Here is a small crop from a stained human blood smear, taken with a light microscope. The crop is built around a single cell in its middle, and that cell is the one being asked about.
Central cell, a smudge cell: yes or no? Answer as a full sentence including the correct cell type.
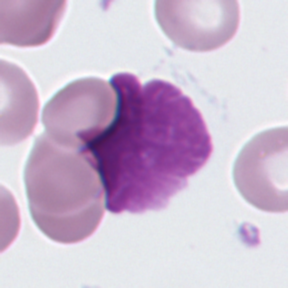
Yes, the cell in the center of this crop is a smudge cell.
